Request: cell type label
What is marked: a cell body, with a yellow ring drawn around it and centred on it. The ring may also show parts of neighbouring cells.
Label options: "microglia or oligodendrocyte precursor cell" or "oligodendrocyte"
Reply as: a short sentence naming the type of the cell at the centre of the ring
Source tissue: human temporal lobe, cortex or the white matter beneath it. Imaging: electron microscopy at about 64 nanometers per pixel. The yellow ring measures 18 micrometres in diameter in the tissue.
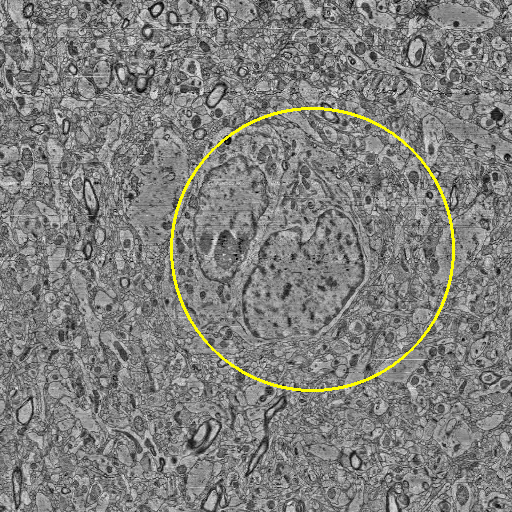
The marked cell body is that of a microglial cell or oligodendrocyte precursor cell.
